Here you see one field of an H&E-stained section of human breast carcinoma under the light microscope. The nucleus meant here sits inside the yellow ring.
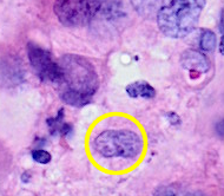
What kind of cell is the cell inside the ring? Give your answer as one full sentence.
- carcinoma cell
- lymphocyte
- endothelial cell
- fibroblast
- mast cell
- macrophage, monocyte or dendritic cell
At the level of cell identity, the cell inside the ring is a macrophage, monocyte or dendritic cell.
